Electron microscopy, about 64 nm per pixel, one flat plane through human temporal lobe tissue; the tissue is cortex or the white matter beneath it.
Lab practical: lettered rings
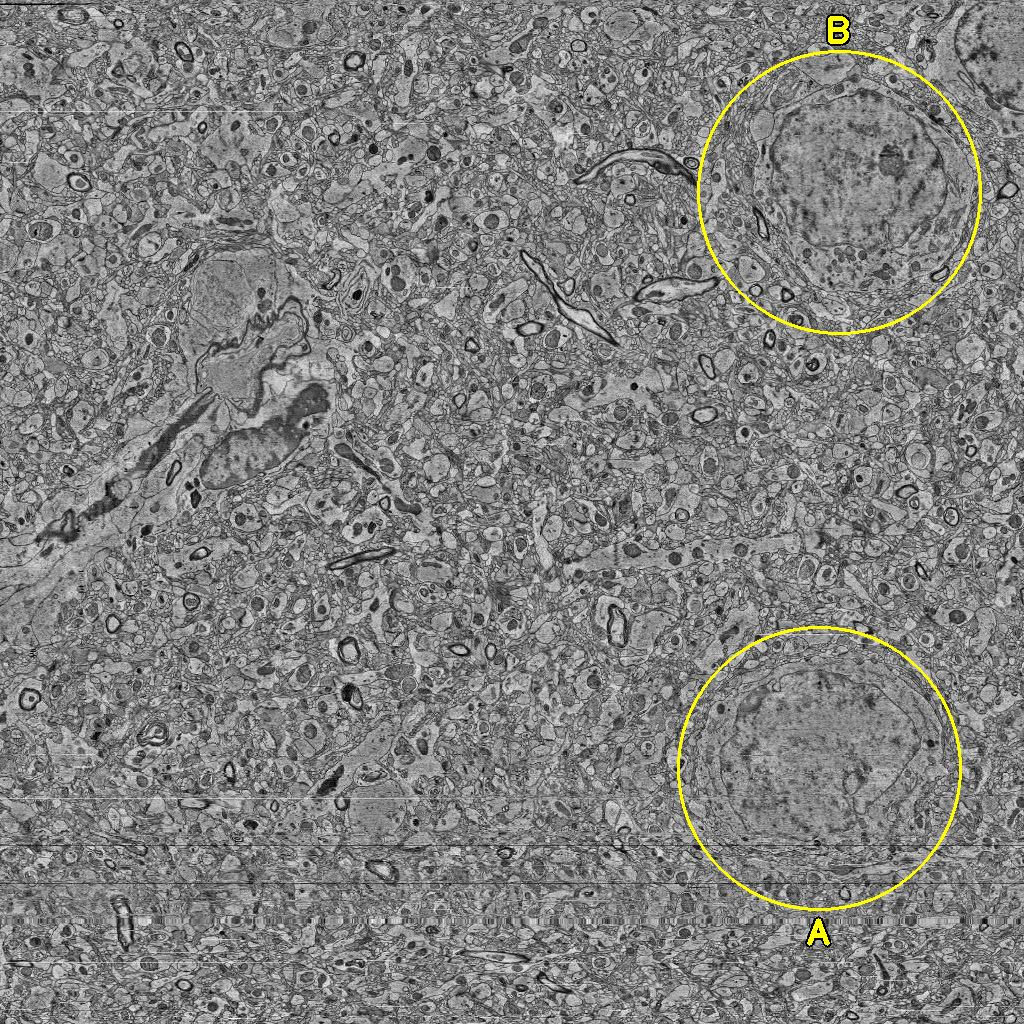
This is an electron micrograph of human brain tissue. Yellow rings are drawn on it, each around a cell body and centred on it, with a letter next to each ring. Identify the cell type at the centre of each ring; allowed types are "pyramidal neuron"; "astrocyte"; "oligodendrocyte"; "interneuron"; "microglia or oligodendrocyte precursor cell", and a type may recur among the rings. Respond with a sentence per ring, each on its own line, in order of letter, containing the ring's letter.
Lying at the centre of ring A is an interneuron.
Lying at the centre of ring B is an interneuron.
